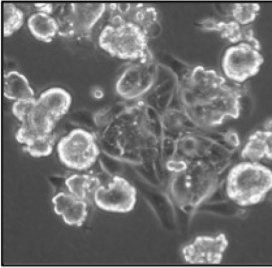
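Many rounded, compact cell clusters with bright, refractile rims lie scattered across the field, some small and knobbly, others larger and smooth-edged. Individual rounded cells bud from the edges of some clusters.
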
